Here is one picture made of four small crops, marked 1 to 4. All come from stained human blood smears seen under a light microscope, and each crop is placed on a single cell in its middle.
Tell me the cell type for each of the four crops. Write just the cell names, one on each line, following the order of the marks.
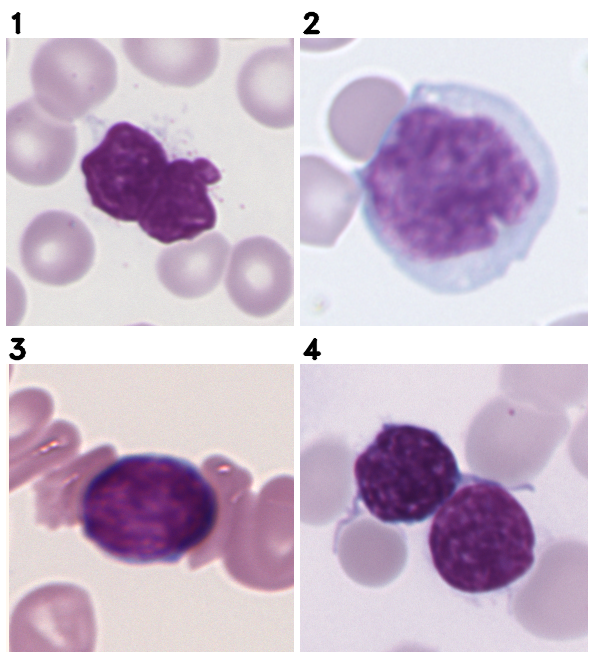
smudge cell
myeloblast
myeloblast
myeloblast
